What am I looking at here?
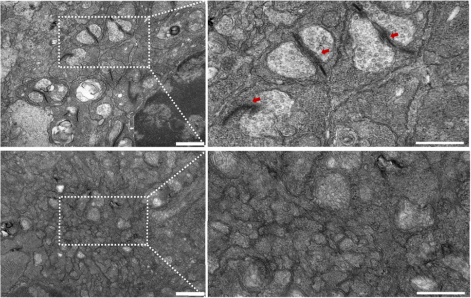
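These are rod photoreceptor terminals in the outer plexiform layer of the retina, seen as rounded profiles packed with small synaptic vesicles. In the lower row the terminals are smaller and less distinct, still holding vesicles, but the dark ribbons are hard to find.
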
